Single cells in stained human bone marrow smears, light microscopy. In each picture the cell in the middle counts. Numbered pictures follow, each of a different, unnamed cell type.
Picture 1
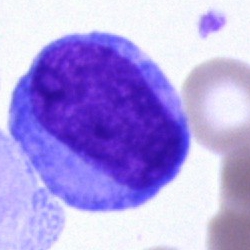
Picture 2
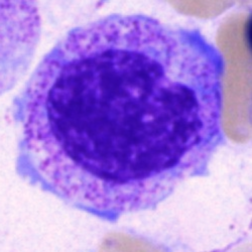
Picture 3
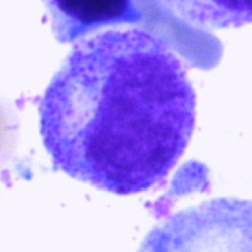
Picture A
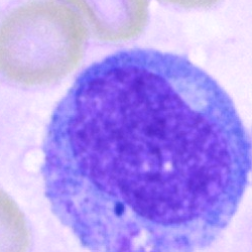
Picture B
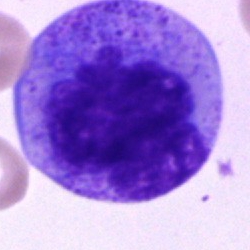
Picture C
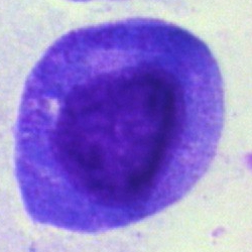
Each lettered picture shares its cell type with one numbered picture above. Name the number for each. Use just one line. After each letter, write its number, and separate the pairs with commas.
A 2, B 2, C 3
